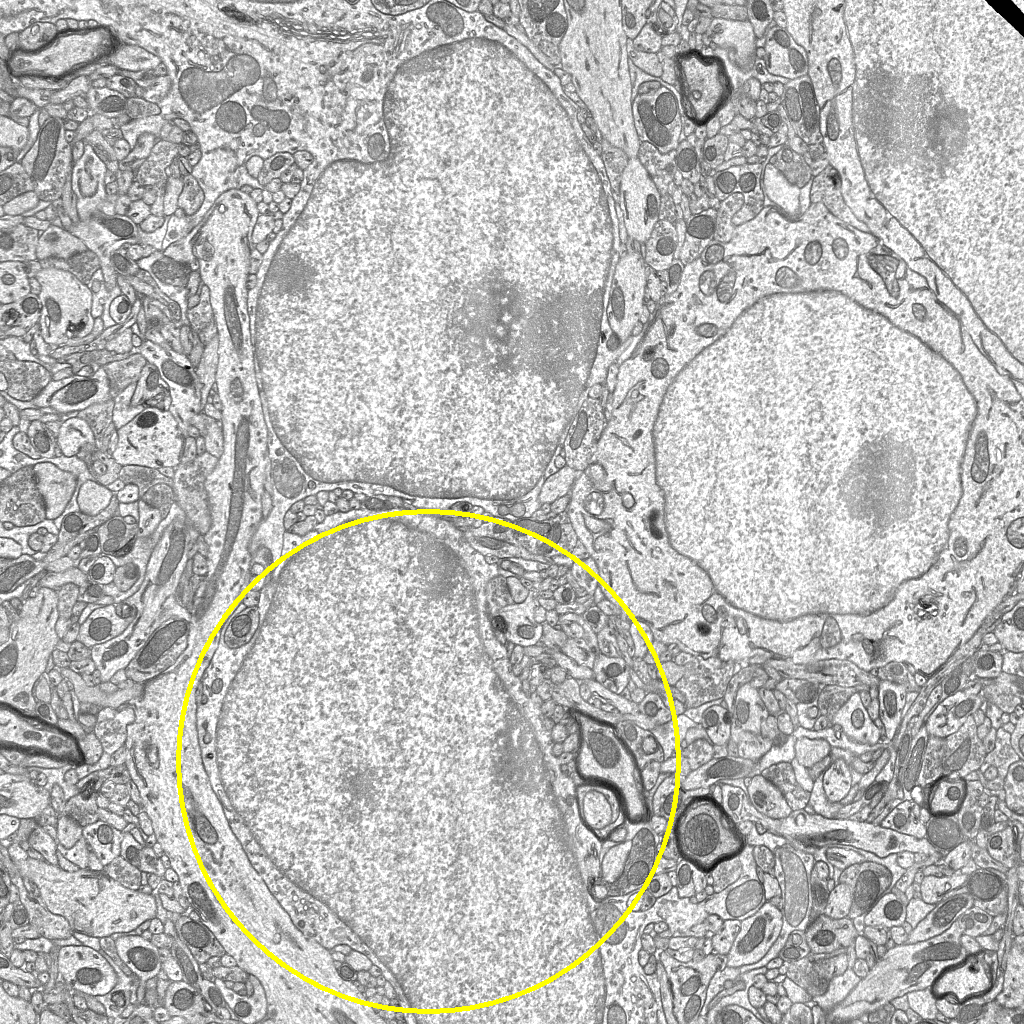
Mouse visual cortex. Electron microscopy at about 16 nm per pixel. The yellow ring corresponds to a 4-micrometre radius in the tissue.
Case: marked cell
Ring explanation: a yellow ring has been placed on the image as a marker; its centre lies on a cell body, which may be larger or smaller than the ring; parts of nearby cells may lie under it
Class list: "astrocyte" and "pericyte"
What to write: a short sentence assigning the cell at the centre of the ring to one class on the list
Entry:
The cell at the ring's centre is an astrocyte.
